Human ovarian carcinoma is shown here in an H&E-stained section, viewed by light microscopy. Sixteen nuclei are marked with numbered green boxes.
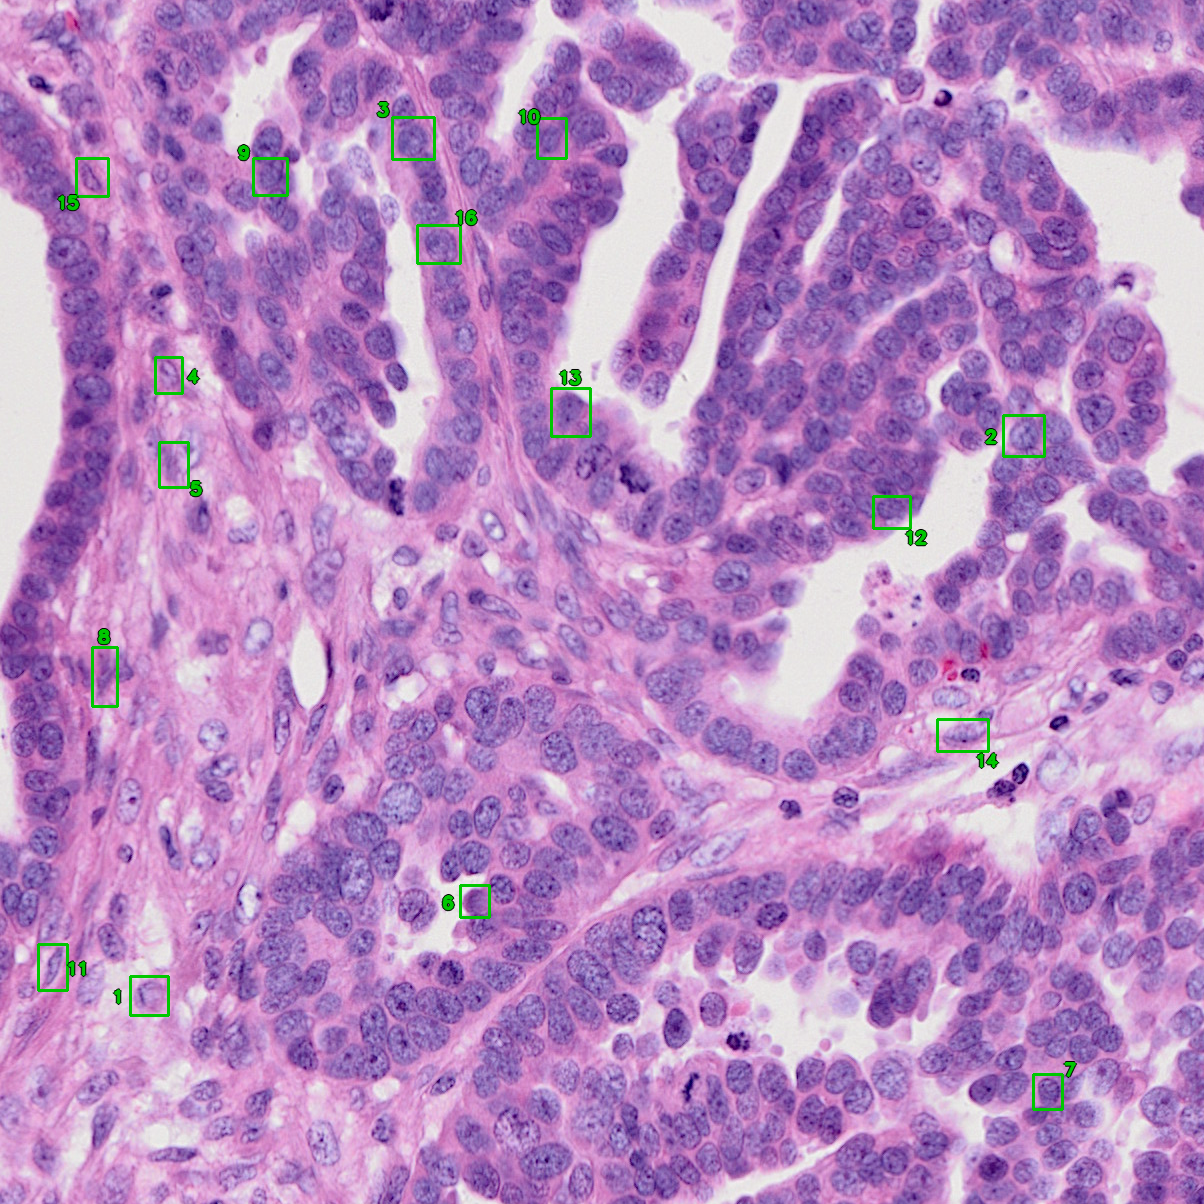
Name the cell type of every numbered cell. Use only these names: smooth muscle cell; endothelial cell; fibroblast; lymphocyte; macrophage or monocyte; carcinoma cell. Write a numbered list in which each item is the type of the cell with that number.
1. fibroblast
2. carcinoma cell
3. carcinoma cell
4. fibroblast
5. fibroblast
6. carcinoma cell
7. carcinoma cell
8. fibroblast
9. carcinoma cell
10. carcinoma cell
11. fibroblast
12. carcinoma cell
13. carcinoma cell
14. fibroblast
15. macrophage or monocyte
16. carcinoma cell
